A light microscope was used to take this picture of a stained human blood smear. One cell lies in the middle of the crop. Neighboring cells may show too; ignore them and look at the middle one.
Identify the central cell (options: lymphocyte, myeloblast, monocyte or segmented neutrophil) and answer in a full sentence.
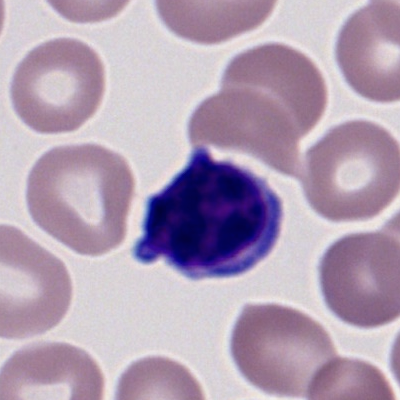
Classification of the middle cell gives a lymphocyte.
